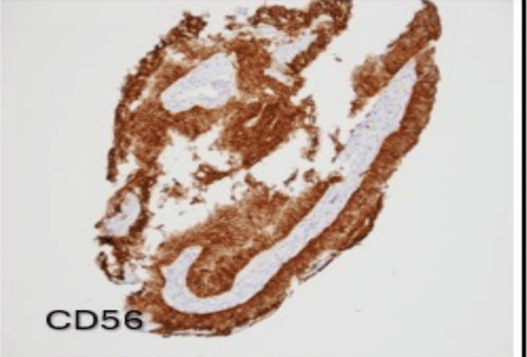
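This is tumour tissue with a papillary structure in which the thick layers of cells lining the cores are intensely stained brown throughout. The pale blue cores between them remain unstained, outlining the papillae.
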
